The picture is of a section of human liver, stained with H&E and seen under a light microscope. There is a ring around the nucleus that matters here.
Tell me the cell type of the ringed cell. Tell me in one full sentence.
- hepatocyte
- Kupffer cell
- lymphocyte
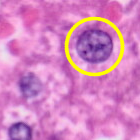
Among the cells in this section, the ringed cell is a hepatocyte.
